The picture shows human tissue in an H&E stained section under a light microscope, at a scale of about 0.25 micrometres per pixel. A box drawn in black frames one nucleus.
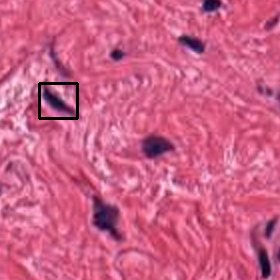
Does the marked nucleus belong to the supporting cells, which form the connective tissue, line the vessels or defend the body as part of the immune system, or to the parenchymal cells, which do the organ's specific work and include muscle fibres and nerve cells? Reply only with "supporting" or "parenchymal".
supporting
